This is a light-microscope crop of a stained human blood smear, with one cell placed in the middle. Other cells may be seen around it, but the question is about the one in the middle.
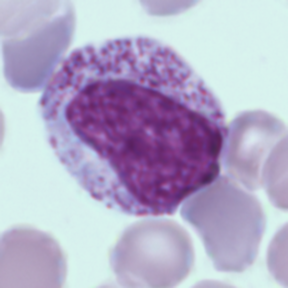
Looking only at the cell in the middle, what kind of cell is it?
myelocyte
